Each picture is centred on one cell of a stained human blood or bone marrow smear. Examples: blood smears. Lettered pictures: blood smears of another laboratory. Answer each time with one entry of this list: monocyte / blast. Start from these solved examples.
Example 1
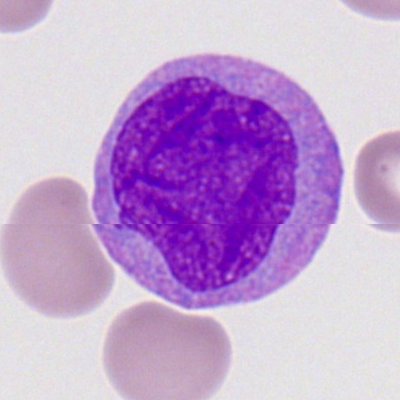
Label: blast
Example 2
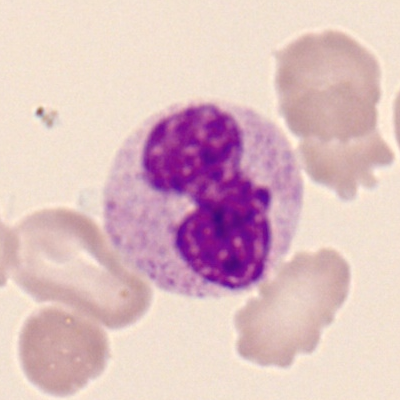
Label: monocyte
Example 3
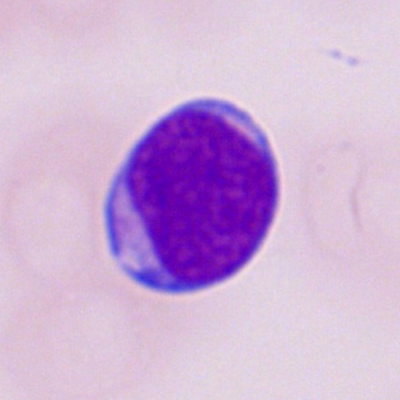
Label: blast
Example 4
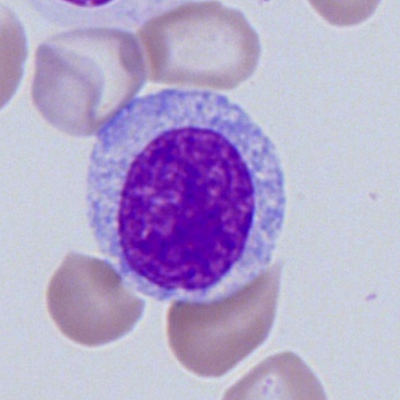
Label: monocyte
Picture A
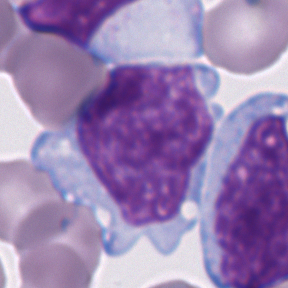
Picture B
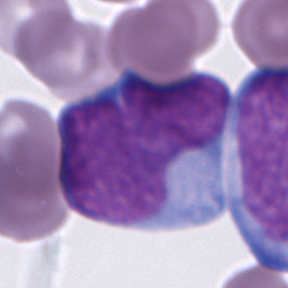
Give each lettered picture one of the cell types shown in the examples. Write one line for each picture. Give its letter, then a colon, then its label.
A: blast
B: blast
